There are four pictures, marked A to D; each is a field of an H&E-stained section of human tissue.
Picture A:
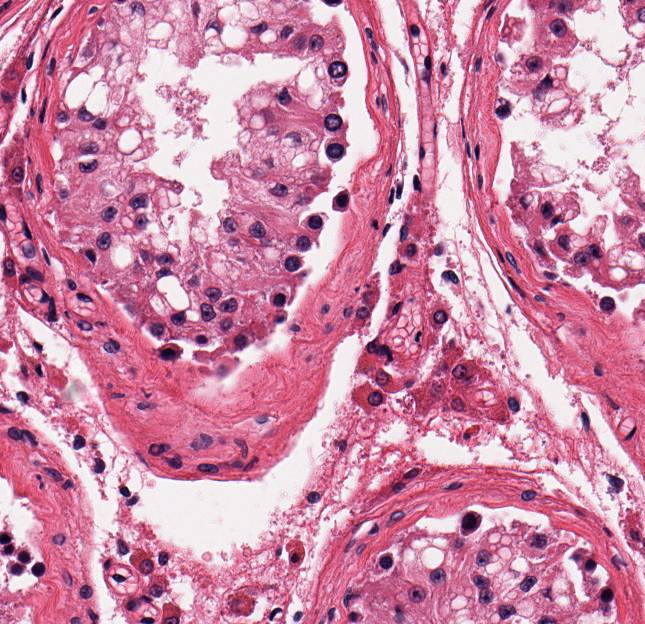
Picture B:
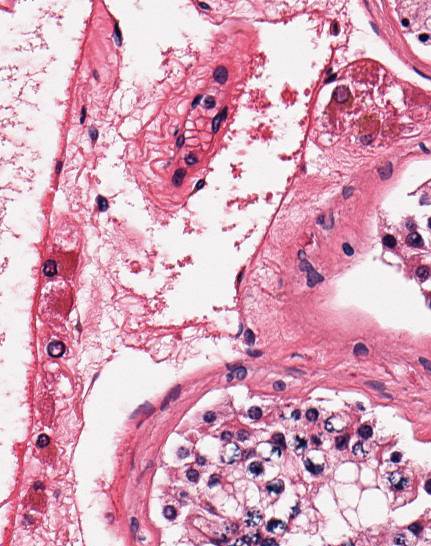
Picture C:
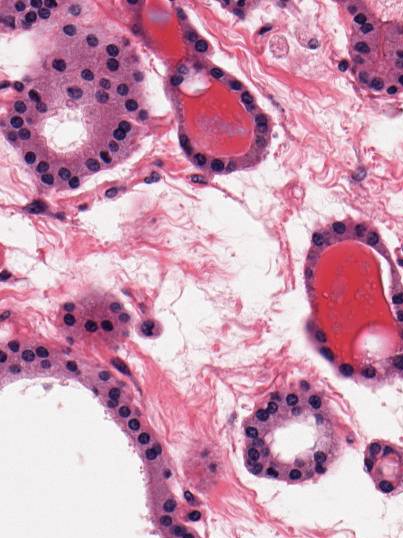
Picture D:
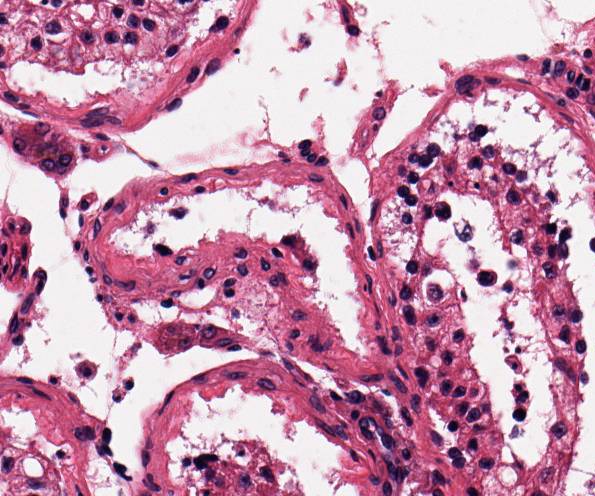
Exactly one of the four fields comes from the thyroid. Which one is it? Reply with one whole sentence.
Picture C comes from the thyroid.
